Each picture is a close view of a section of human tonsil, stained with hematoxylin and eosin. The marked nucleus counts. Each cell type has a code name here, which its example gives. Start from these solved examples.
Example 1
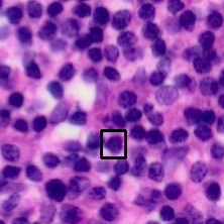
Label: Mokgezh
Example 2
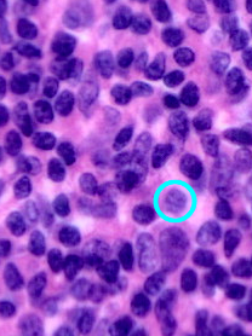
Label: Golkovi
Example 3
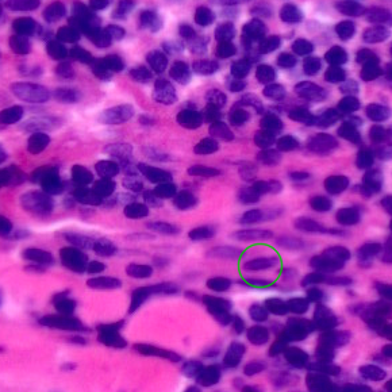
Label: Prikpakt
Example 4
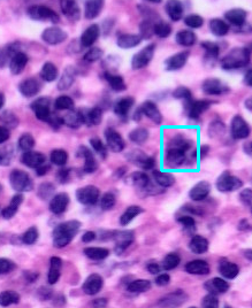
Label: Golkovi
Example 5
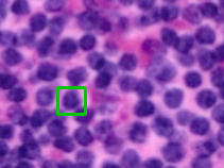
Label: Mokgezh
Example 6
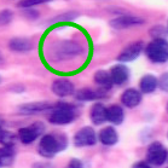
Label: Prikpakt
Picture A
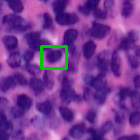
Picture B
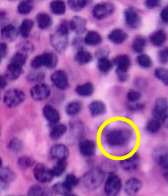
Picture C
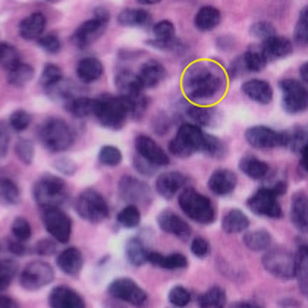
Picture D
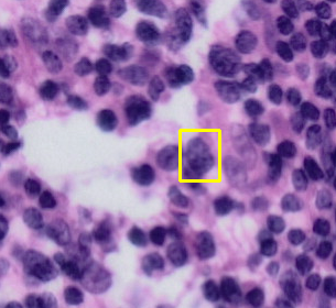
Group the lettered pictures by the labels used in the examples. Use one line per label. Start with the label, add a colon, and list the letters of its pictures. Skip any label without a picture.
Mokgezh: A
Golkovi: B, C, D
